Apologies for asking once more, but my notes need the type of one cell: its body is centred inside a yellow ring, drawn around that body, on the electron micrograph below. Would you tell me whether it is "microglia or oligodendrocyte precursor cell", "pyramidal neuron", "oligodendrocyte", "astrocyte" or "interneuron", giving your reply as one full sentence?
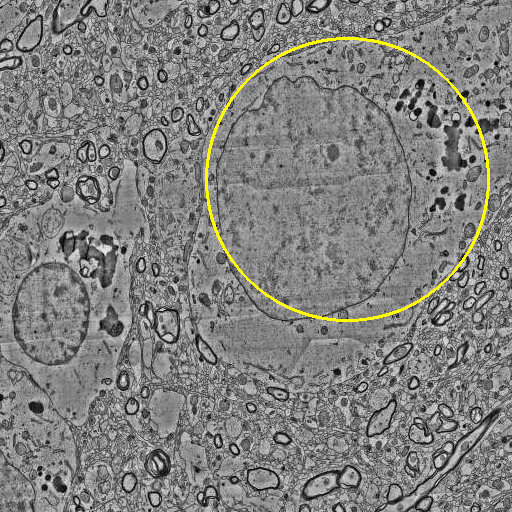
The cell that the yellow ring is centred on is a pyramidal neuron in this micrograph.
